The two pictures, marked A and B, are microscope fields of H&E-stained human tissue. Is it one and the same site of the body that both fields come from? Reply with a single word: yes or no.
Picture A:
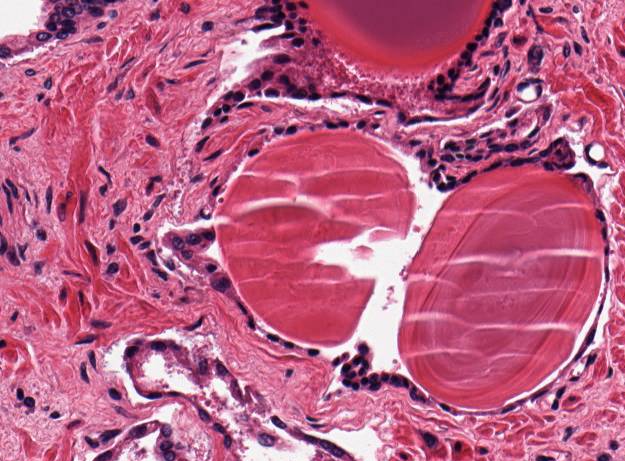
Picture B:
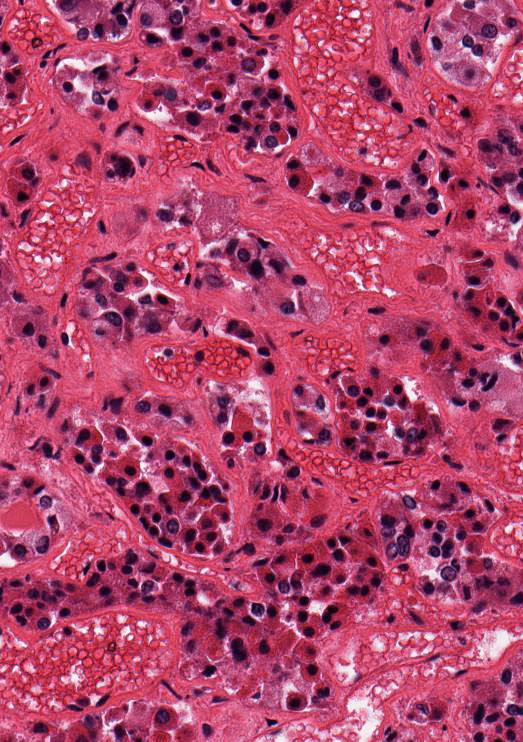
no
